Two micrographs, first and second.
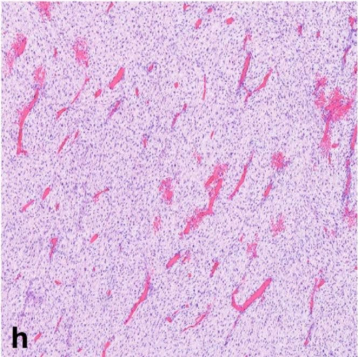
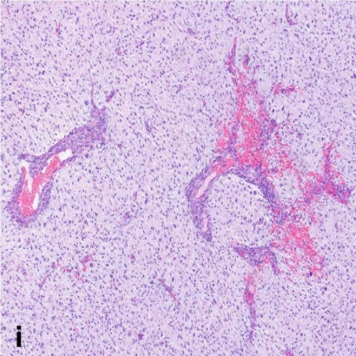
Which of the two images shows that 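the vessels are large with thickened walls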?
The second image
